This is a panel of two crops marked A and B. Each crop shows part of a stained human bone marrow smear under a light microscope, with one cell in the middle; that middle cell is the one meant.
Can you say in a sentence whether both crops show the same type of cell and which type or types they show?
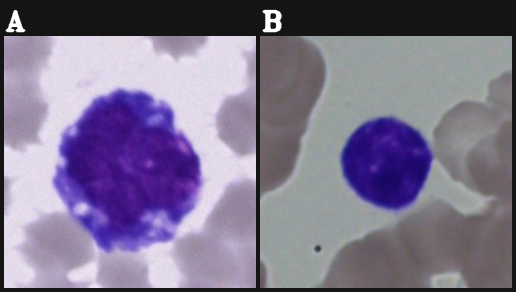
No, crop A matches a blast and crop B matches a lymphocyte.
